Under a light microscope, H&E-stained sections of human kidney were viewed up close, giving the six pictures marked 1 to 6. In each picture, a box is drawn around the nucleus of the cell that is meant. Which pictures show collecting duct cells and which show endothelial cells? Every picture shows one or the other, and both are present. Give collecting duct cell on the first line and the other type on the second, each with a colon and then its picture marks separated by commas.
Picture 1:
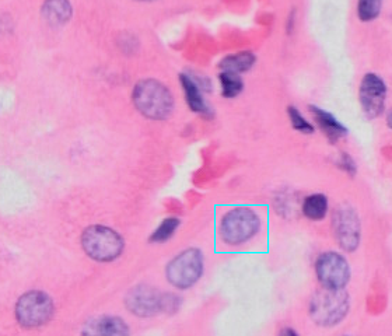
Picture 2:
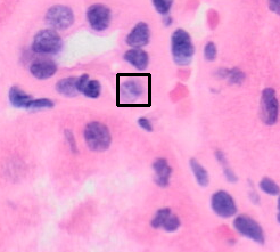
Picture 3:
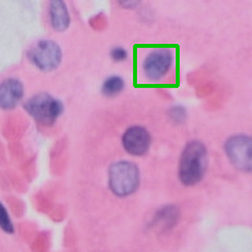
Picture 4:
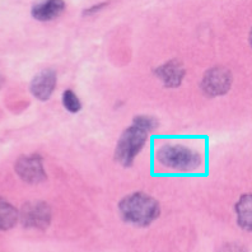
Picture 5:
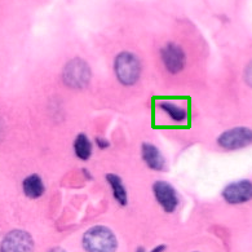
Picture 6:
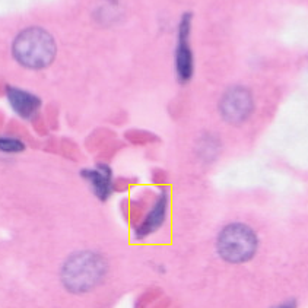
collecting duct cell: 1, 2
endothelial cell: 3, 4, 5, 6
